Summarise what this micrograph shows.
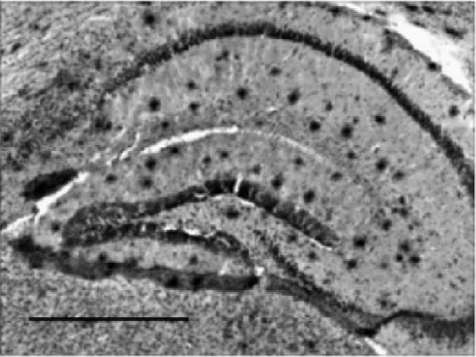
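This is a section of the hippocampus. The densely packed cell bodies of the pyramidal layer form a dark curved band arching over the top, and the V-shaped granule cell band of the dentate gyrus lies below it. Scattered across the paler layers between and around these bands are many dark, roughly round plaques. They vary in size, and most are larger than a single nucleus, with dense cores and fuzzy edges. They occur through nearly the whole section rather than in one layer.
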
